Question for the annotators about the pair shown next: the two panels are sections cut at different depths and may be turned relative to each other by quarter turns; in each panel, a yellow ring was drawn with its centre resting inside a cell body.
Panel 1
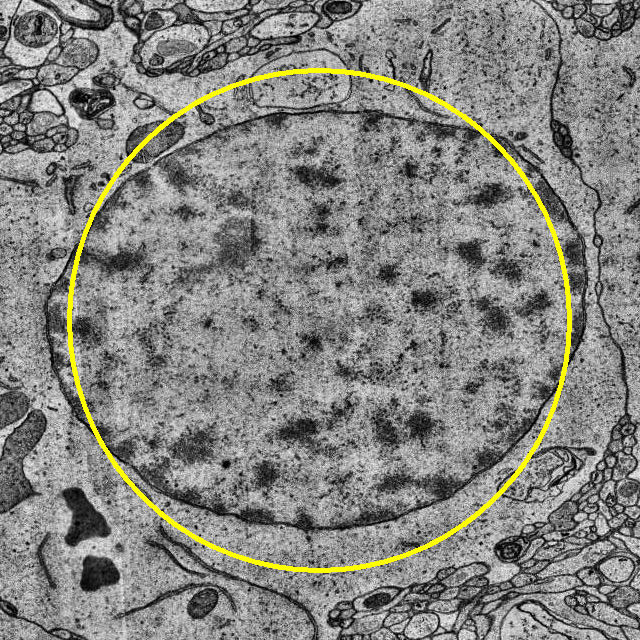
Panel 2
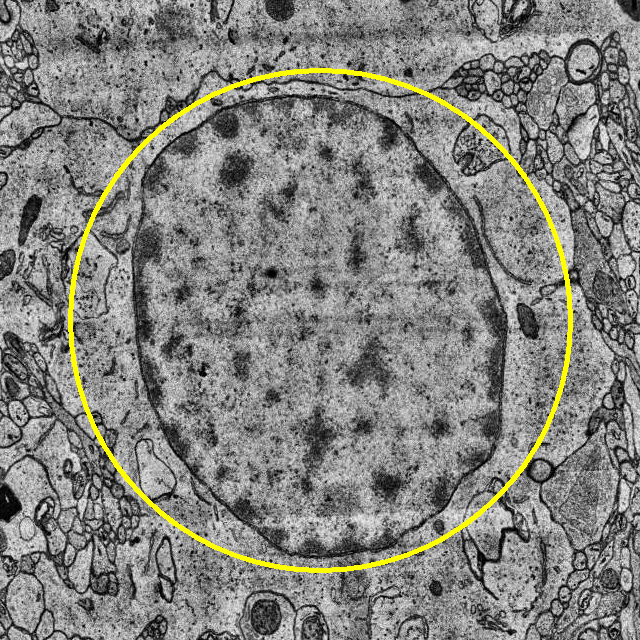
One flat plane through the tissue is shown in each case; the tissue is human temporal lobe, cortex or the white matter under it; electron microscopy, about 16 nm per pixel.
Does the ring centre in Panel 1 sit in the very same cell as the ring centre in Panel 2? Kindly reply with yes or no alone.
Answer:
yes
